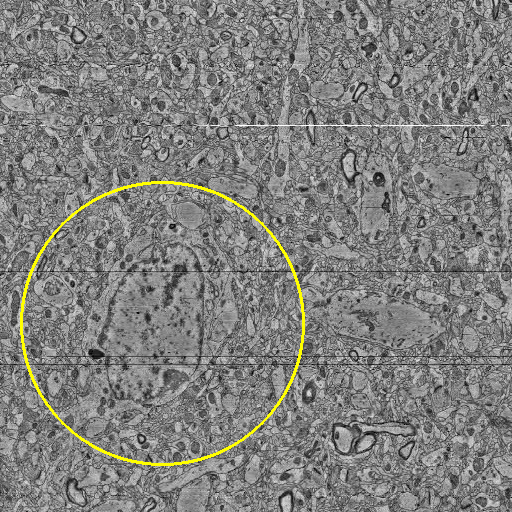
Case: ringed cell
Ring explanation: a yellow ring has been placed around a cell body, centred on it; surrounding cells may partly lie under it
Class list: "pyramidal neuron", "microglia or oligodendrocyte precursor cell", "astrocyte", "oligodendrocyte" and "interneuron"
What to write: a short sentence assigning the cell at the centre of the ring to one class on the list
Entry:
The cell at the ring's centre is an interneuron.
